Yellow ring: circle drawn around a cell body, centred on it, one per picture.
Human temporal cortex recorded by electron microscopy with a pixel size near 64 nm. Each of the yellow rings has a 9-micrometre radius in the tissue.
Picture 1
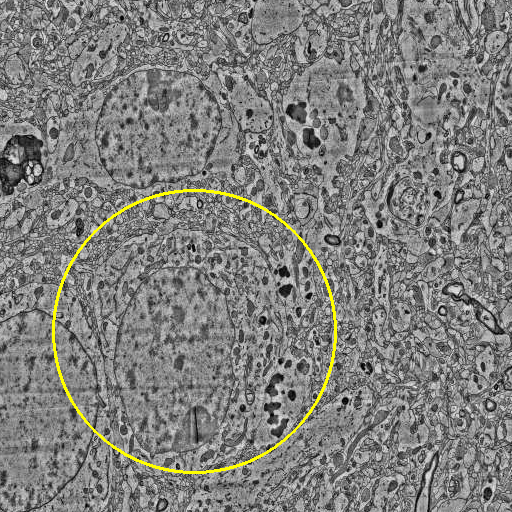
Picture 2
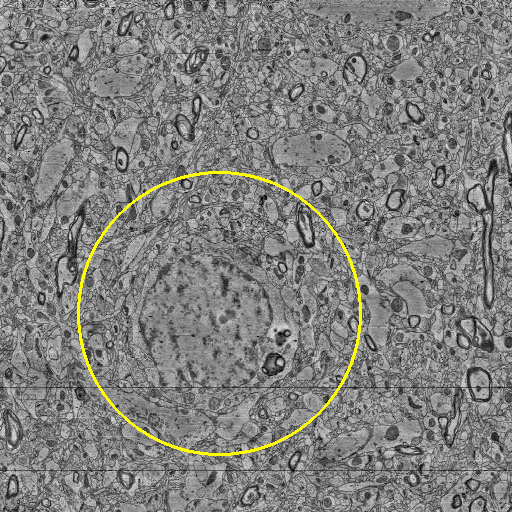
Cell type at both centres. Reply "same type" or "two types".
same type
